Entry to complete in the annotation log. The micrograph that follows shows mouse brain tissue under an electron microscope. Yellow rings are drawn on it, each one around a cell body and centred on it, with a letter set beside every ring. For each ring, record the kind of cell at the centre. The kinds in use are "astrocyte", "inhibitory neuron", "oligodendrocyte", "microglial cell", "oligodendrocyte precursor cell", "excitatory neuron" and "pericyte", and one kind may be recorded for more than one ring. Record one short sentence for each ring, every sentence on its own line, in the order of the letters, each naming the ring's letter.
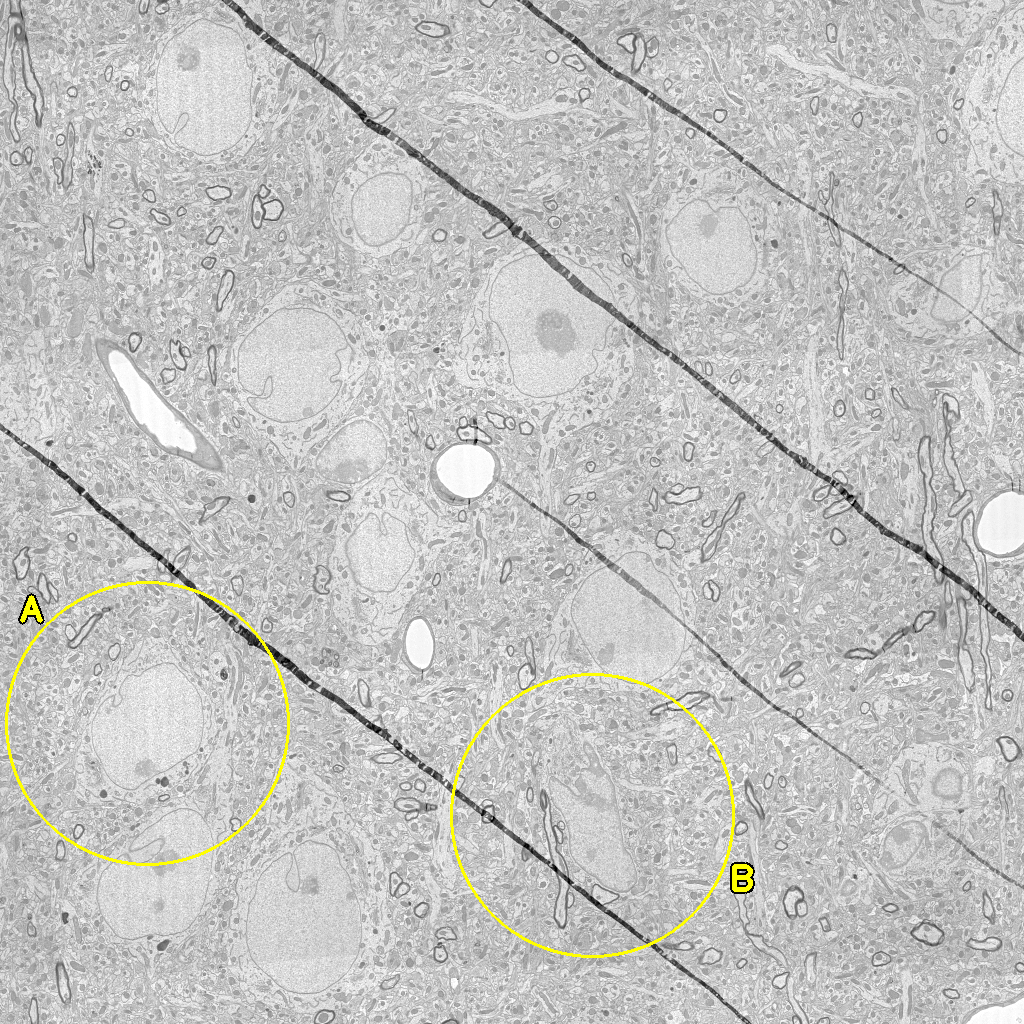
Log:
Ring A is placed around an excitatory neuron.
Ring B is placed around an oligodendrocyte precursor cell.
